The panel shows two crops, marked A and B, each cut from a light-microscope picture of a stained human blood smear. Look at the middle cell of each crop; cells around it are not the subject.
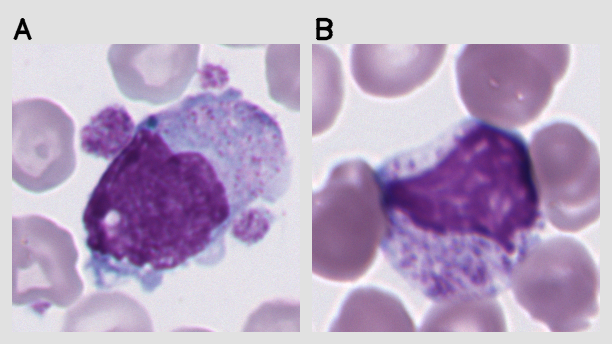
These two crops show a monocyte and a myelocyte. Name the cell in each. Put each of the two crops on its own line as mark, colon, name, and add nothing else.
A: monocyte
B: myelocyte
